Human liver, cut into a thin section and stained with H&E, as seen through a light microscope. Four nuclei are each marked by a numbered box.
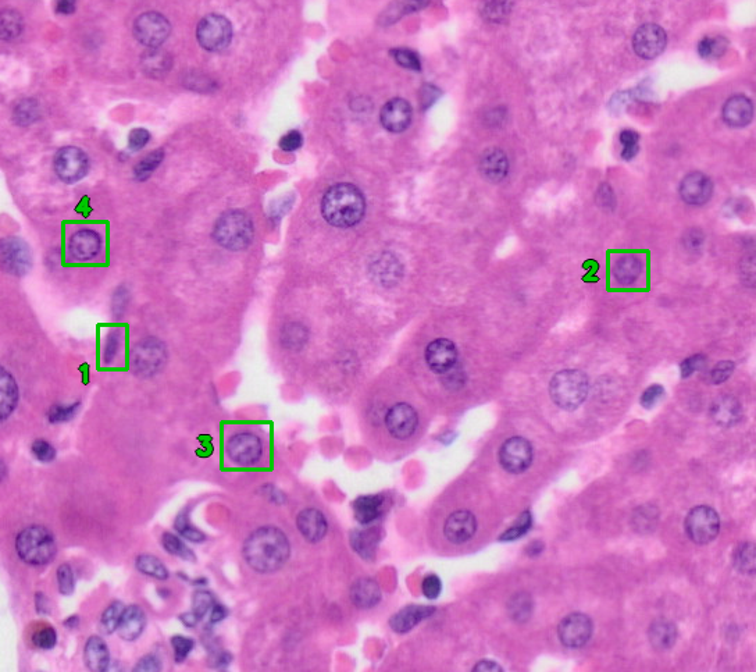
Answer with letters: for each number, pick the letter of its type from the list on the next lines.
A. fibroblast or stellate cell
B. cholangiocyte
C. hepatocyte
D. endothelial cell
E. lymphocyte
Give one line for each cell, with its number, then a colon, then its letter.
1: A
2: C
3: C
4: C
